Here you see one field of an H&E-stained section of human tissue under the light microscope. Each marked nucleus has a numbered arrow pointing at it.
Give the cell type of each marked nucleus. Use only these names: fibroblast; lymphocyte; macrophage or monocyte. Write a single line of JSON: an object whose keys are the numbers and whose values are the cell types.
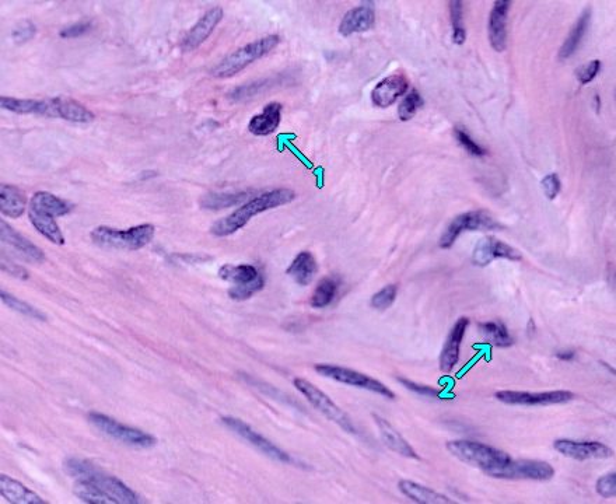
{"1": "lymphocyte", "2": "fibroblast"}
